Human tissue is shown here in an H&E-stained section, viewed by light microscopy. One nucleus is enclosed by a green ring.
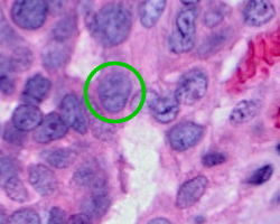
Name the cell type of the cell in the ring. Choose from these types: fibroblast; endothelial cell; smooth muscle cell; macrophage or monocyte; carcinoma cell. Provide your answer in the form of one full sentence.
With respect to cell type, the cell in the ring is a carcinoma cell.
